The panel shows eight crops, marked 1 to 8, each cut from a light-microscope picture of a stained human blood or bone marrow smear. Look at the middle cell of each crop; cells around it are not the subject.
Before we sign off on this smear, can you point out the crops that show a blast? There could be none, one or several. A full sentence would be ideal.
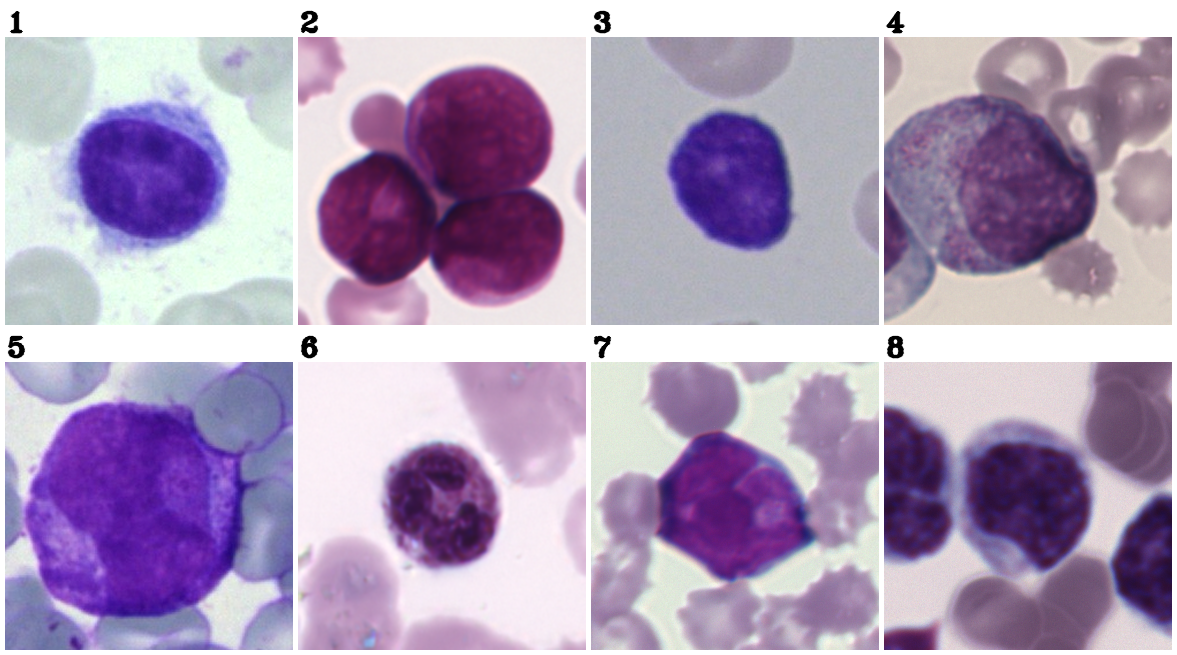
Classification of crops 2, 3, 5 and 7: the central cells are blasts.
